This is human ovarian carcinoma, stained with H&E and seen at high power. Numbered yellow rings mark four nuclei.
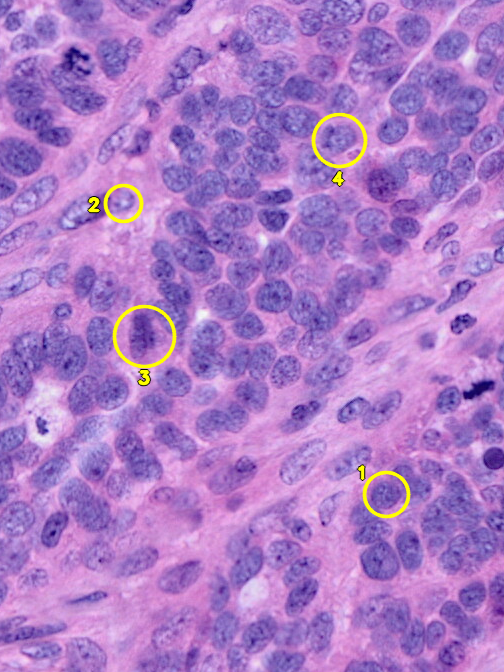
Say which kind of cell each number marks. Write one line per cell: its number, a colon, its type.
1: carcinoma cell
2: fibroblast
3: carcinoma cell
4: carcinoma cell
